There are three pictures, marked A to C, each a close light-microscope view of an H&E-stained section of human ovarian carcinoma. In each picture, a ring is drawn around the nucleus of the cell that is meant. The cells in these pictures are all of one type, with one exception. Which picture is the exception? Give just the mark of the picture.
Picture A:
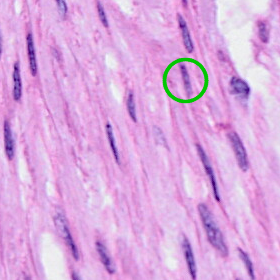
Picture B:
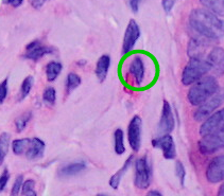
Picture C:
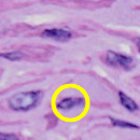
B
